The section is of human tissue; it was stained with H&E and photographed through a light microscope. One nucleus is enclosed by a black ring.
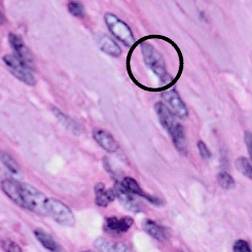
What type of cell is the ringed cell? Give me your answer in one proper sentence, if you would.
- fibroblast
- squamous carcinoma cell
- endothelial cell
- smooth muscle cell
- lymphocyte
On this particular slide, the ringed cell is an endothelial cell.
